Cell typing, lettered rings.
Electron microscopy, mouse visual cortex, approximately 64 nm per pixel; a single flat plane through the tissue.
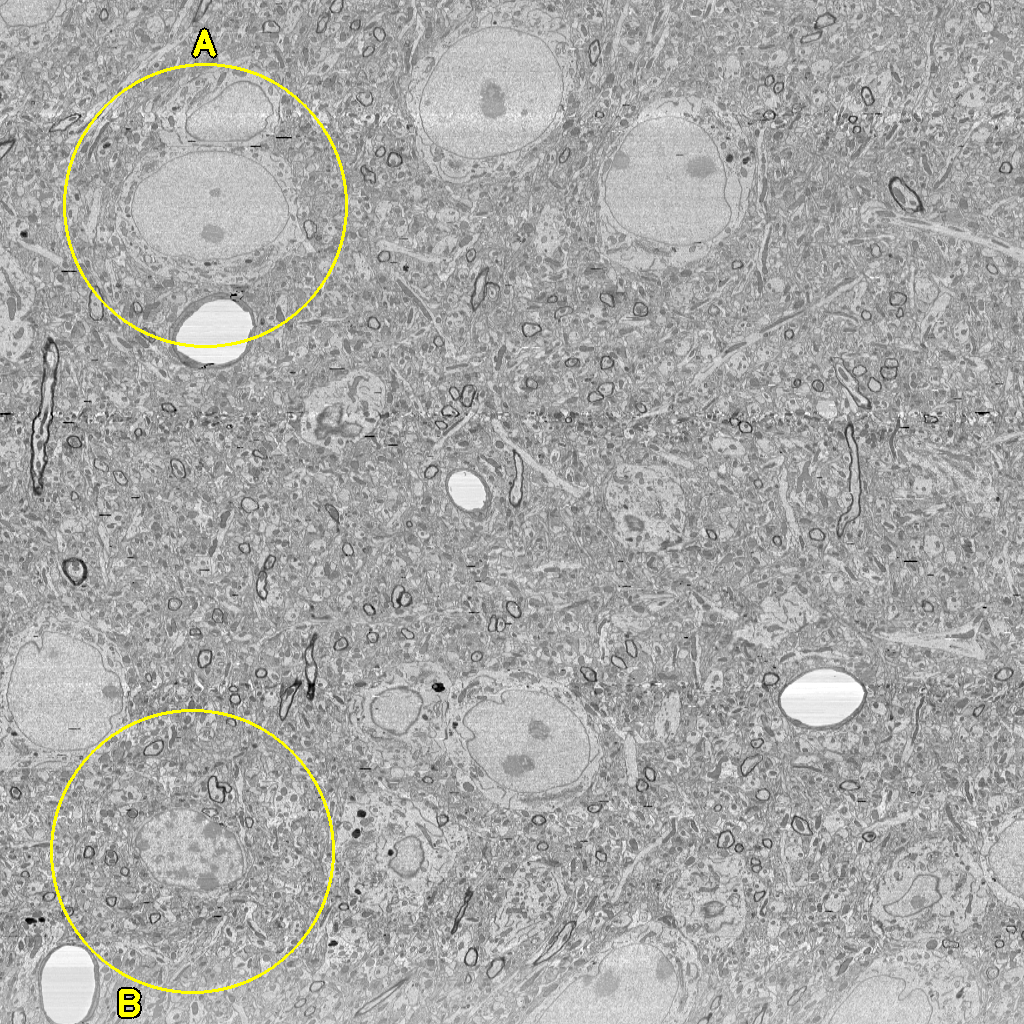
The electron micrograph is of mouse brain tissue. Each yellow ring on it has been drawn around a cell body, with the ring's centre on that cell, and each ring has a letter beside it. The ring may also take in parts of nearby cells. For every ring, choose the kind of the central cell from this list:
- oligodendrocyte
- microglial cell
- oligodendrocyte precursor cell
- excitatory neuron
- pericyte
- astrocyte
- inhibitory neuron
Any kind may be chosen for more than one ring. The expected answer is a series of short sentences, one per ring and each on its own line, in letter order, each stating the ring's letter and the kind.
For ring A, the centred cell is an excitatory neuron.
For ring B, the centred cell is an oligodendrocyte.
